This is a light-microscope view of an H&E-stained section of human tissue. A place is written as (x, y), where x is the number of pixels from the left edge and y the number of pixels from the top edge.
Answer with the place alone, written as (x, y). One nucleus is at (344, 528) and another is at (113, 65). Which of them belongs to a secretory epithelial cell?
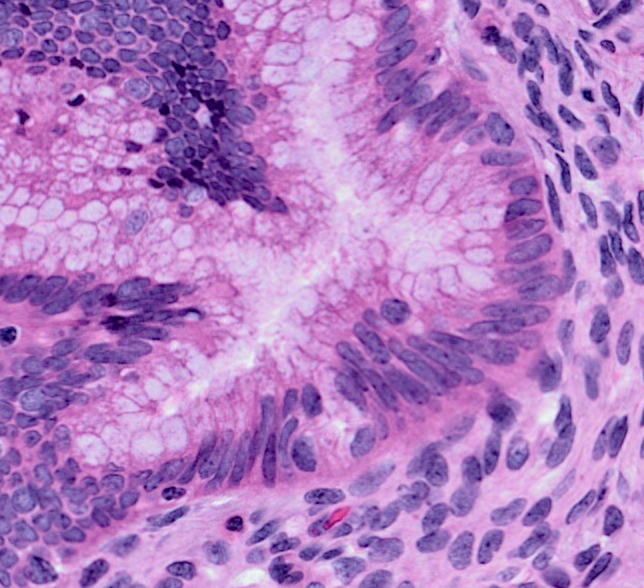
(113, 65)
